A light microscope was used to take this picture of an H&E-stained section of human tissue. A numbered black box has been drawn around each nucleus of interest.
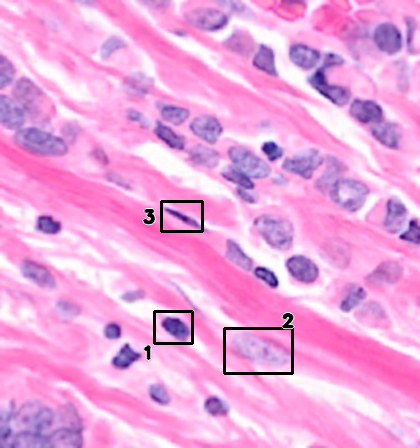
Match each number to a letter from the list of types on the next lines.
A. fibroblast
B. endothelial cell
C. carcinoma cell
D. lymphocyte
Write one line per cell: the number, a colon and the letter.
1: D
2: A
3: A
